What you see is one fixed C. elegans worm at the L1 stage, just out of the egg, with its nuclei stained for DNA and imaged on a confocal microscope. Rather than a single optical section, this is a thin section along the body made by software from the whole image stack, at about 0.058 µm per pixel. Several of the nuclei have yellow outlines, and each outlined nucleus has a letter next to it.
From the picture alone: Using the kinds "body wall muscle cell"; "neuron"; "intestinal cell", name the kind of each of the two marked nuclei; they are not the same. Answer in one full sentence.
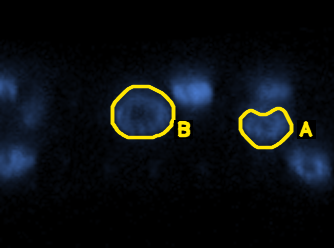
Nucleus A comes from a body wall muscle cell and nucleus B from an intestinal cell.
